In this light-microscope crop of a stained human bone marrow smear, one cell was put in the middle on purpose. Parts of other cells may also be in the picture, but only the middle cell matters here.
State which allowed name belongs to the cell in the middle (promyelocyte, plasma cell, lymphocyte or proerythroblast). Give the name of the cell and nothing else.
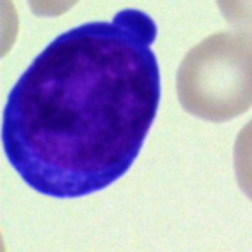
proerythroblast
